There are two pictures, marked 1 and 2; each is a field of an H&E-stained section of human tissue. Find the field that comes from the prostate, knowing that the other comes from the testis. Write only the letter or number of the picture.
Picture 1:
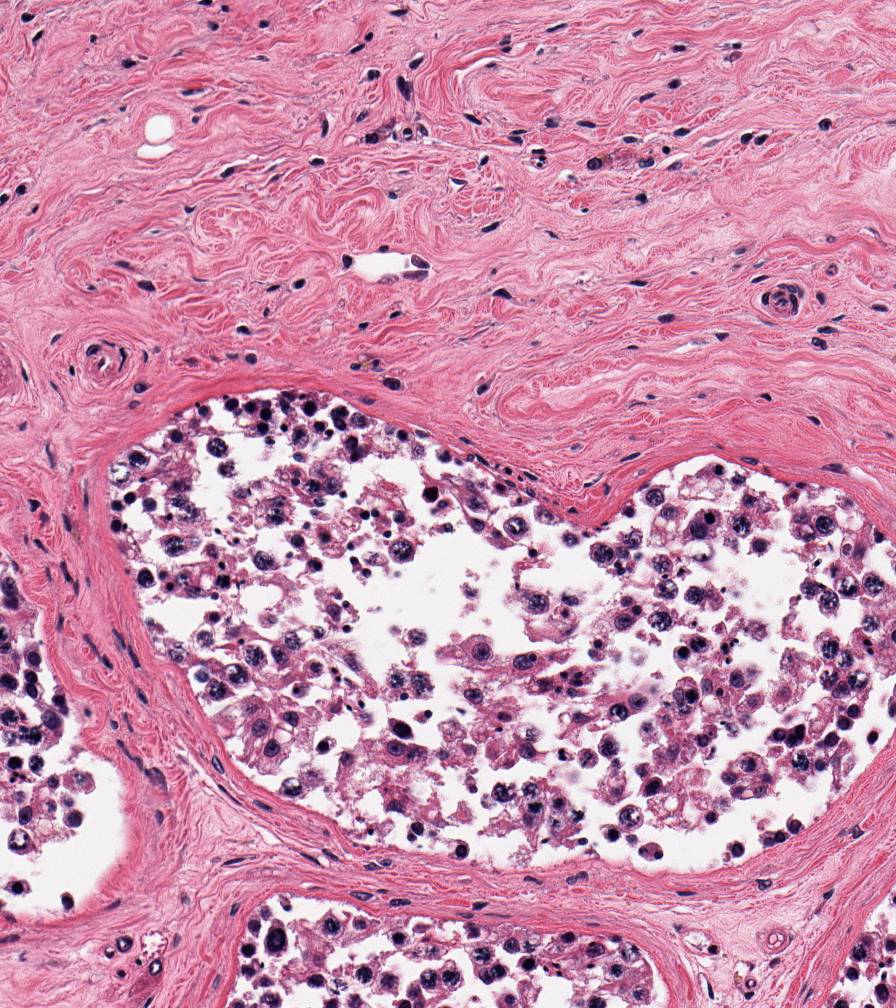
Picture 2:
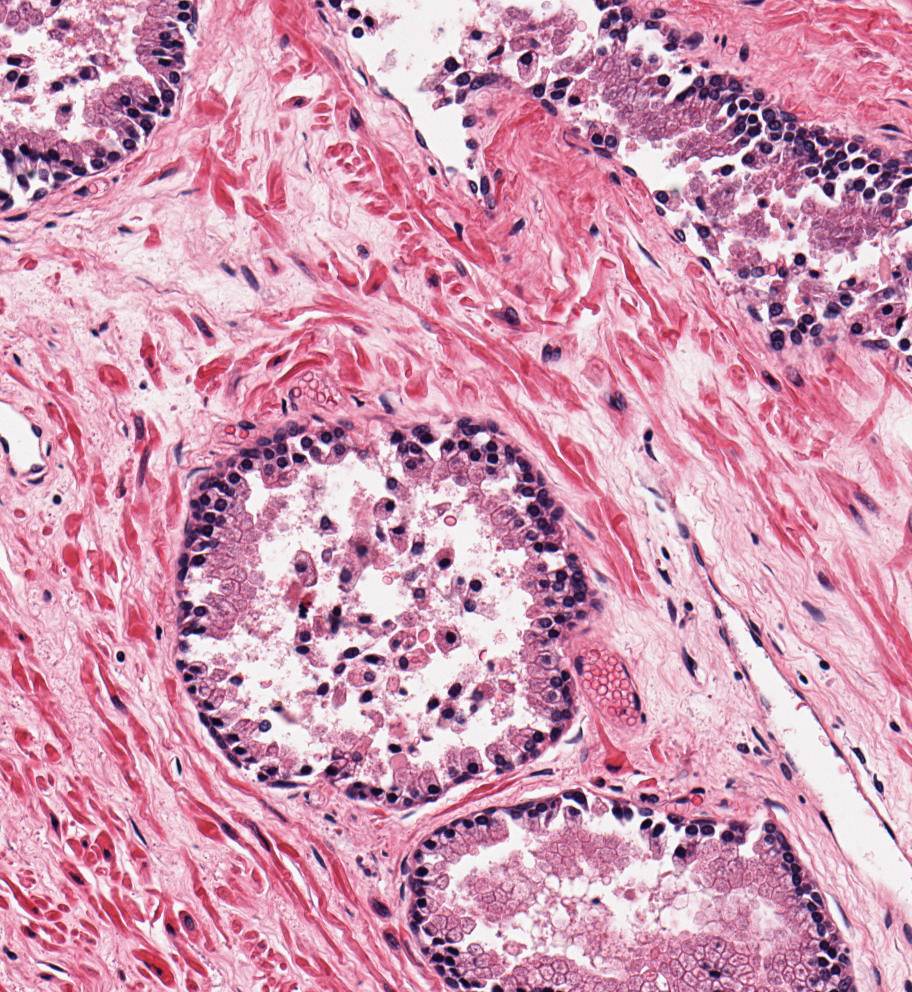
2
